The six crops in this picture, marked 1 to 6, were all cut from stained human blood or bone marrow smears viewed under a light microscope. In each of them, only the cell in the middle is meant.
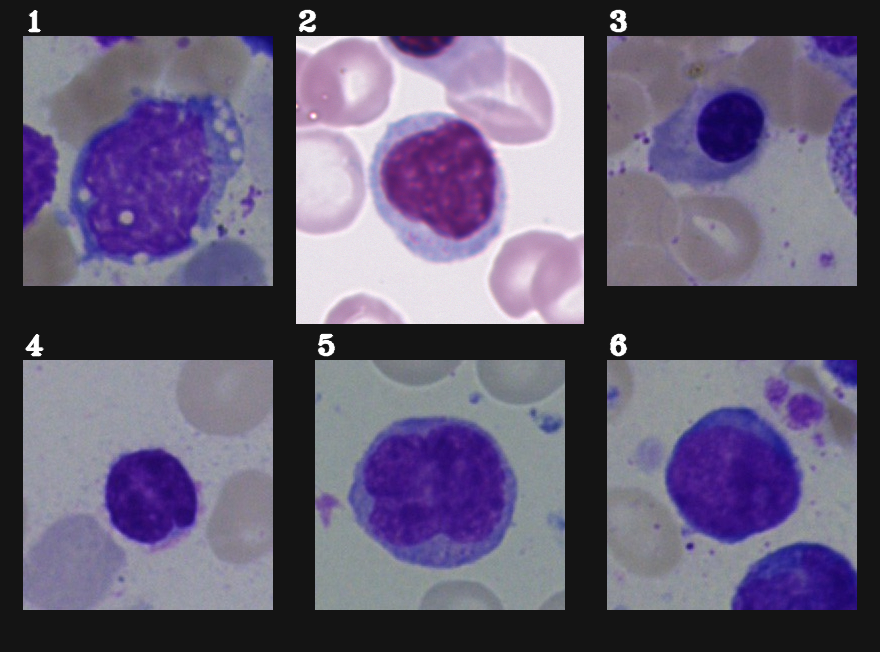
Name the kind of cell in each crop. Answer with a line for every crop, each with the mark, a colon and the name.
1: blast
2: lymphocyte
3: erythroblast
4: lymphocyte
5: blast
6: blast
